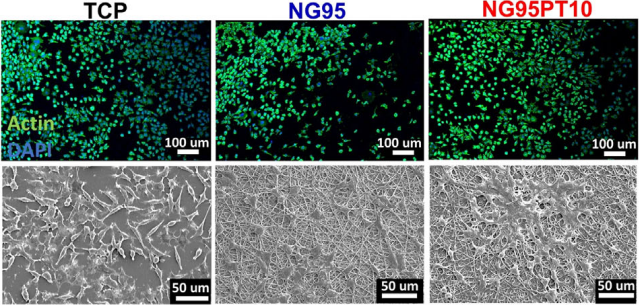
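In the fluorescence images many separate cells are scattered across the field, each with a blue nucleus surrounded by green cytoplasm. In the electron images on the flat surface the cells lie spread out, many elongated or star-shaped, sending out slender processes. On the fibrous mats the cells lie on top of a dense mesh of thin, randomly crossing fibres, which shows through around and between them. The cells are numerous but have not yet covered the whole surface, so gaps remain between them.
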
